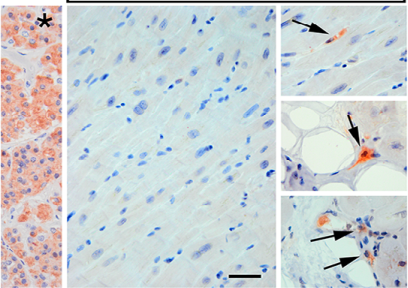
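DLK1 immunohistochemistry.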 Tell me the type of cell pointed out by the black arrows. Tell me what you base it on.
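The arrows point at small, isolated cells stained orange-brown. These cells lie between muscle fibres or near fat cells, not within the fibres. The surrounding striated muscle fibres are unstained. So: non‐muscle cells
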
